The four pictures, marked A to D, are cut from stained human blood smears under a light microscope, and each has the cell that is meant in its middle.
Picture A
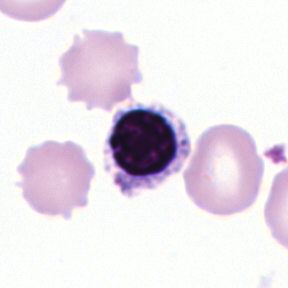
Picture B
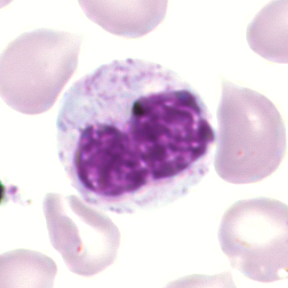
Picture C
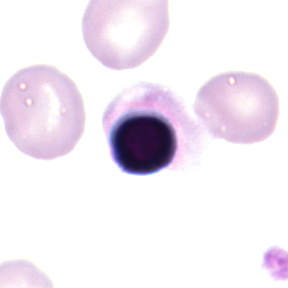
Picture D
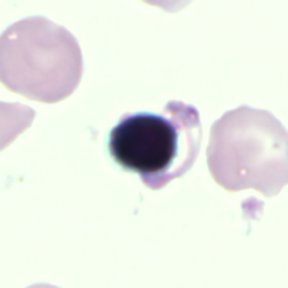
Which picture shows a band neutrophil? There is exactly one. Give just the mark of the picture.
B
